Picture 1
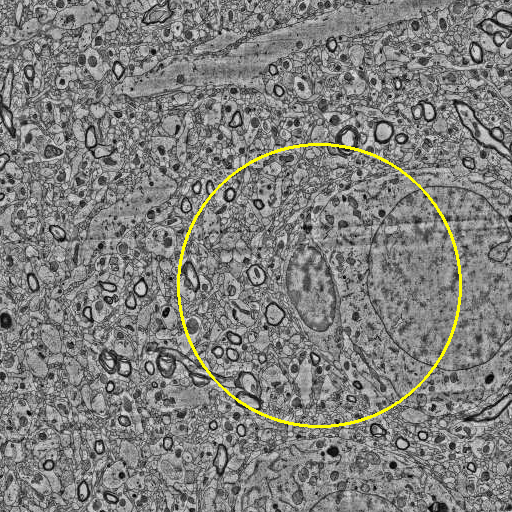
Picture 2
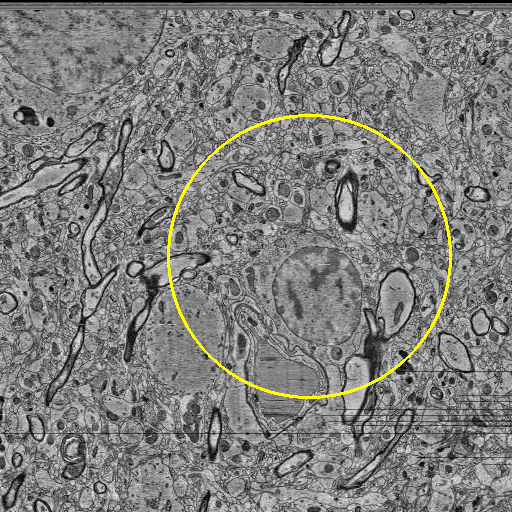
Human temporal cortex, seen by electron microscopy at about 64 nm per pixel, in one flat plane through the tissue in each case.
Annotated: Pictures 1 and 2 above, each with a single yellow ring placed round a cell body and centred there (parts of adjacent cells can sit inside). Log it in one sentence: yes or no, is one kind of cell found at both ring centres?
Yes, the ring centres of the two pictures hold cells of one kind.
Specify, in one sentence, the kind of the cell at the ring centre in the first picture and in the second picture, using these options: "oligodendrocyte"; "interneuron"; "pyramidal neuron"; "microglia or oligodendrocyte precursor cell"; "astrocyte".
Each of the two rings is centred on an oligodendrocyte.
